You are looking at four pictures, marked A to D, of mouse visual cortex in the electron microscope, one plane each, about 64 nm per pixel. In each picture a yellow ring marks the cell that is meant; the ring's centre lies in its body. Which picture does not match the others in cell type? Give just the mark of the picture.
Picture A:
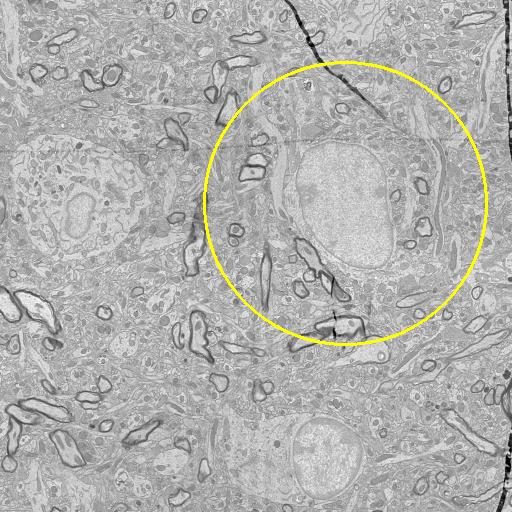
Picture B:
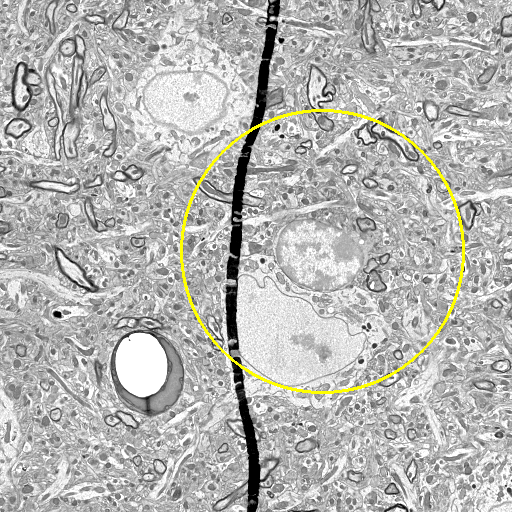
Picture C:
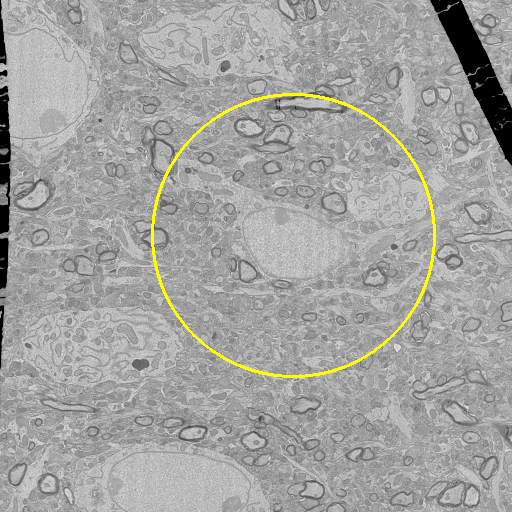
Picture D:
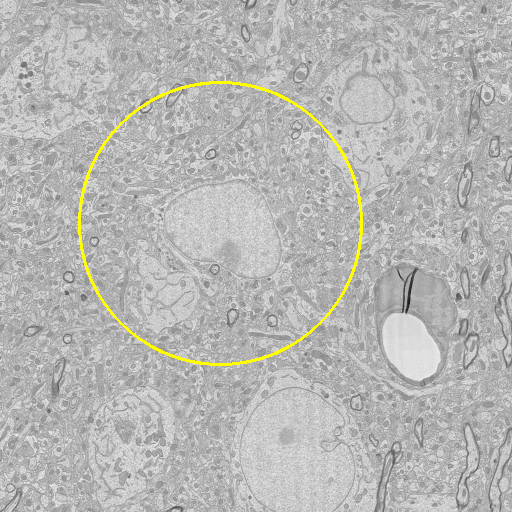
B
